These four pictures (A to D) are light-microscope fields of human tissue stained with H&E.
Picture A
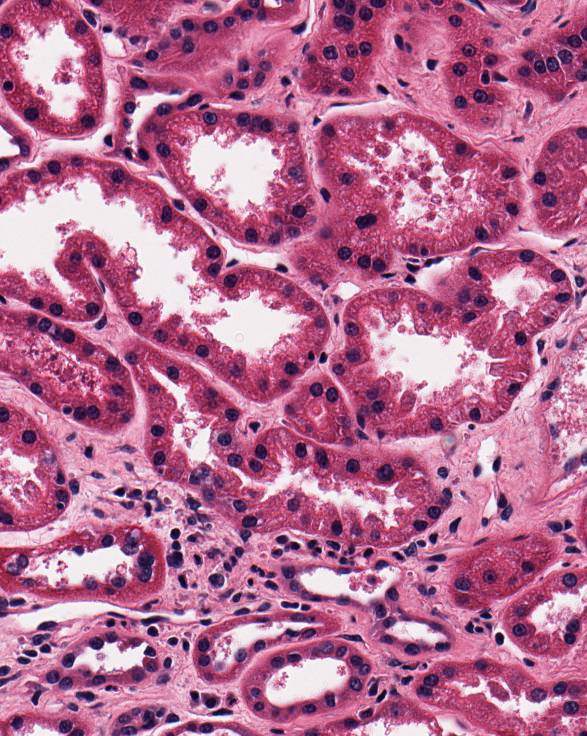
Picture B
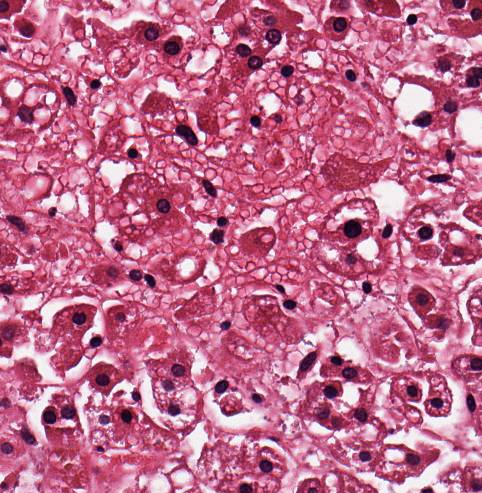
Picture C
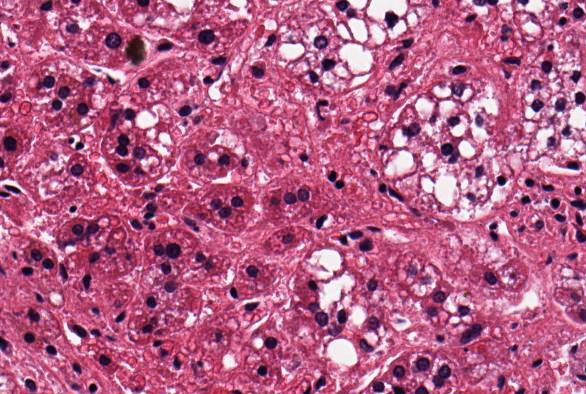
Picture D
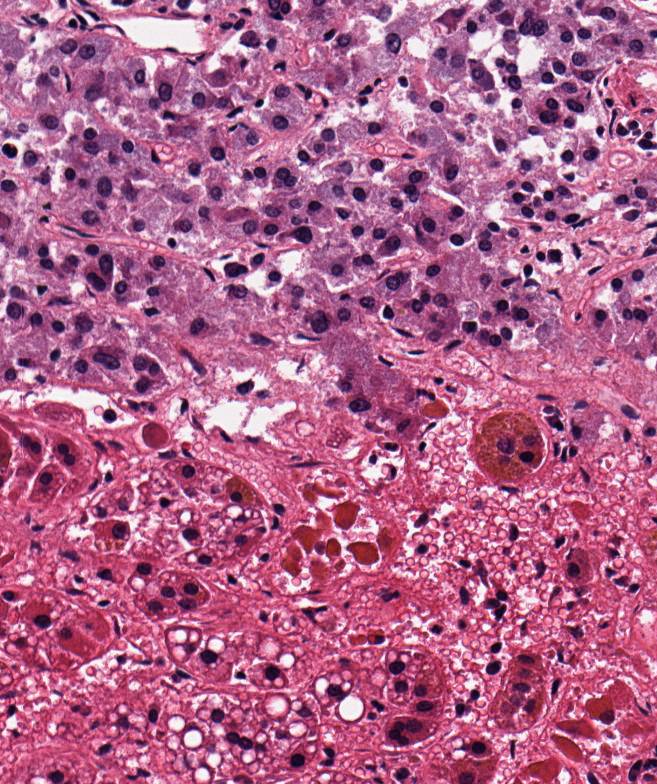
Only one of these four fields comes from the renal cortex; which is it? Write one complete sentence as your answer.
The one that comes from the renal cortex is picture A.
